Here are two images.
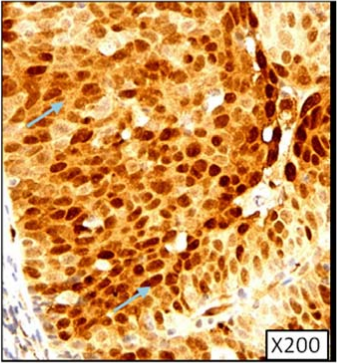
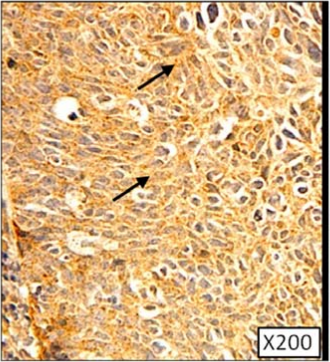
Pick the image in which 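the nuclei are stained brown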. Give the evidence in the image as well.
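The first image. First image: most nuclei are a deep, solid brown, darker than the cytoplasm. Second image: nuclei stay grey-blue while the brown lies in the cytoplasm between them.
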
